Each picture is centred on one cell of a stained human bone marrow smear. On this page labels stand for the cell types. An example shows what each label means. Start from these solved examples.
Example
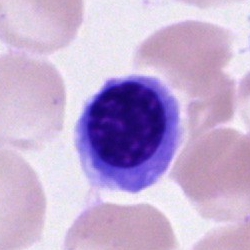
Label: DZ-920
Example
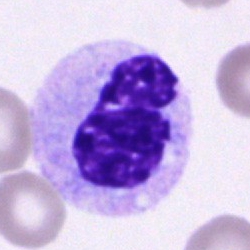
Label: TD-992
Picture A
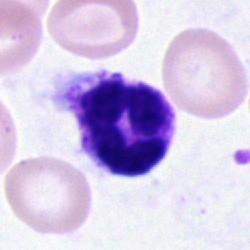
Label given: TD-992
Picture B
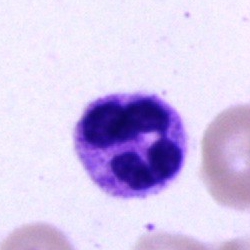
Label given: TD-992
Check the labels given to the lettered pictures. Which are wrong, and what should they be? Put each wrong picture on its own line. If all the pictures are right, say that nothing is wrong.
None of the labels needs changing.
